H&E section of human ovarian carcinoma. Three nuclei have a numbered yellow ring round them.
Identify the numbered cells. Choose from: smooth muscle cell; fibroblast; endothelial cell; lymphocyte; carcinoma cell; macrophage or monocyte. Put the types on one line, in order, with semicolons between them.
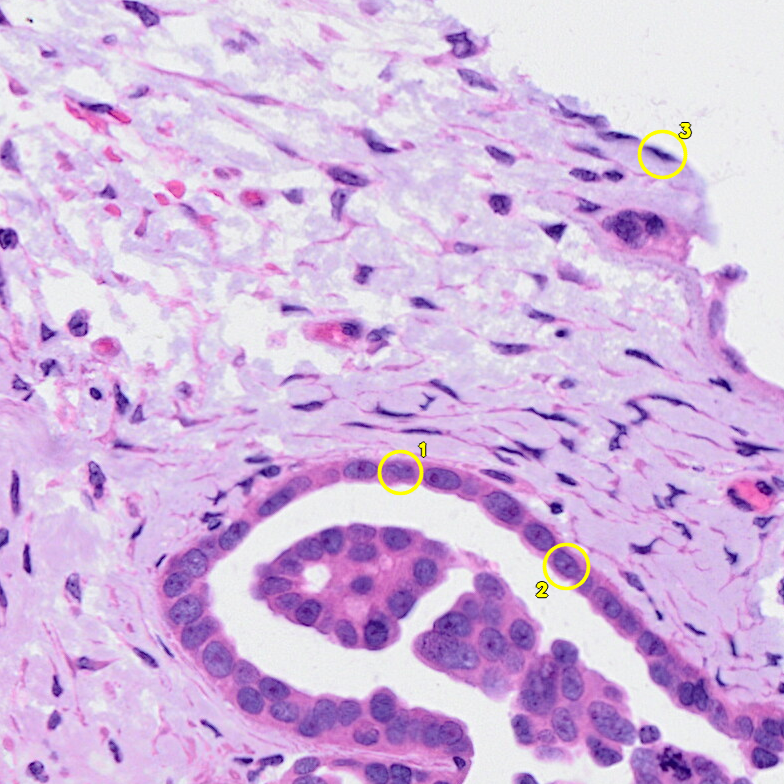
carcinoma cell; carcinoma cell; endothelial cell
